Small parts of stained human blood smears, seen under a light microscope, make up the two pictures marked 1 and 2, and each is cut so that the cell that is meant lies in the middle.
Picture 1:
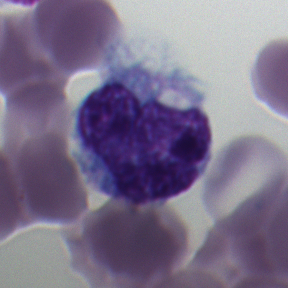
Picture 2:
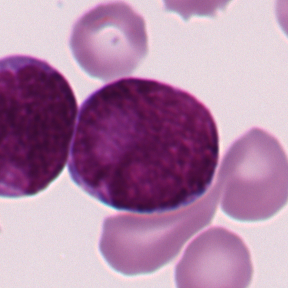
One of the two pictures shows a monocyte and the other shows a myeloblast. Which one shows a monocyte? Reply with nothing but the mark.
1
